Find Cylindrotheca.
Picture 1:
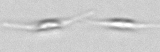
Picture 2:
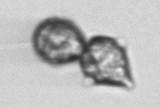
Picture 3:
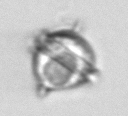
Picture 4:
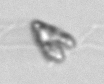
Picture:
1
